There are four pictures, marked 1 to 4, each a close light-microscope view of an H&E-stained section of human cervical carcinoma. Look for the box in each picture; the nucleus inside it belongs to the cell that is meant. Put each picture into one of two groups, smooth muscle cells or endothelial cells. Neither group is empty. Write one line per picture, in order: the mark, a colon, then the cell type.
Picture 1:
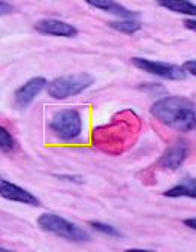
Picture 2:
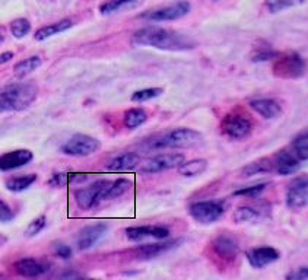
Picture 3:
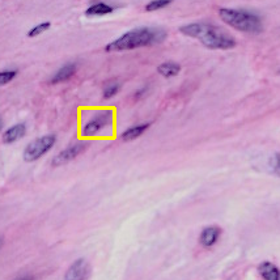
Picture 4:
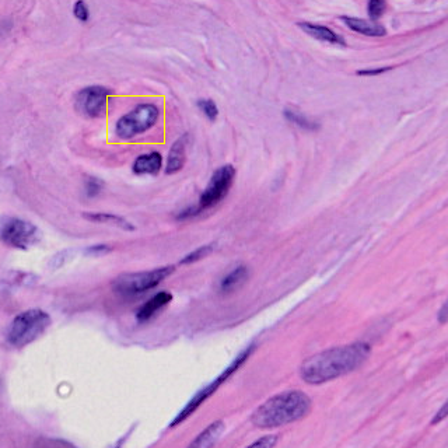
1: endothelial cell
2: endothelial cell
3: smooth muscle cell
4: endothelial cell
